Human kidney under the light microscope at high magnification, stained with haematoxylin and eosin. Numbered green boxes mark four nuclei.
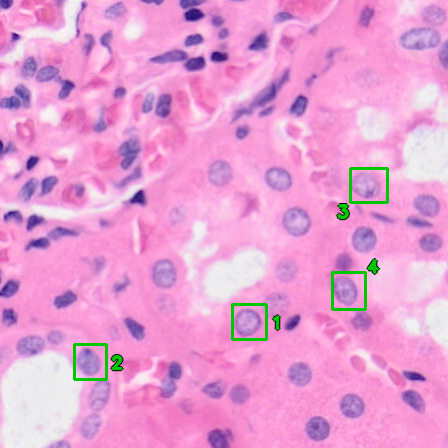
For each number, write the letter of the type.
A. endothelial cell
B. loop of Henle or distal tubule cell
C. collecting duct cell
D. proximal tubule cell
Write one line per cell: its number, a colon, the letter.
1: D
2: C
3: D
4: D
